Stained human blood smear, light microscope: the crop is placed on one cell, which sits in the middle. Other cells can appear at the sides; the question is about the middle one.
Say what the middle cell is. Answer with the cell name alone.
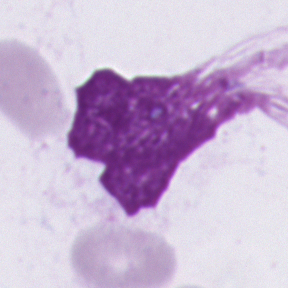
smudge cell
